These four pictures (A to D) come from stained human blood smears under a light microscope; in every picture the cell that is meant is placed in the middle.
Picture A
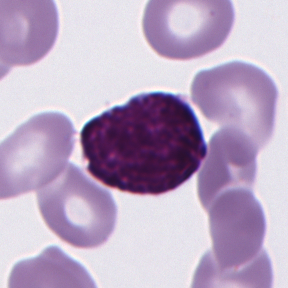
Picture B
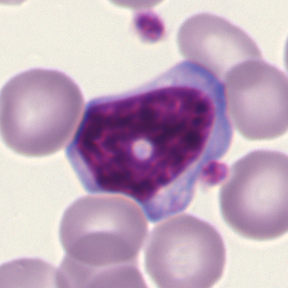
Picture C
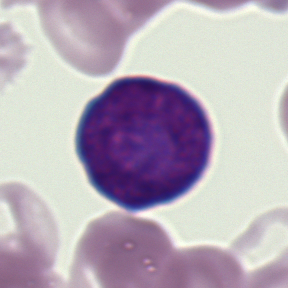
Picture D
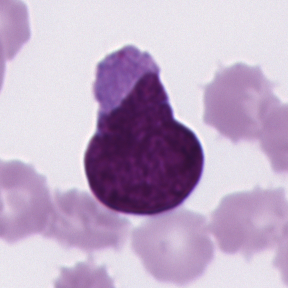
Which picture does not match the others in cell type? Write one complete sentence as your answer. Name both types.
Picture B differs, because its cell is a typical lymphocyte and the rest are myeloblasts.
